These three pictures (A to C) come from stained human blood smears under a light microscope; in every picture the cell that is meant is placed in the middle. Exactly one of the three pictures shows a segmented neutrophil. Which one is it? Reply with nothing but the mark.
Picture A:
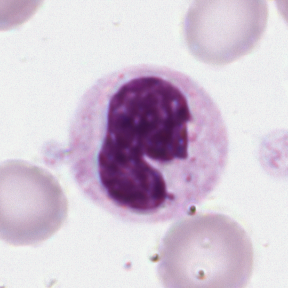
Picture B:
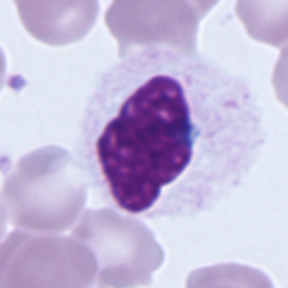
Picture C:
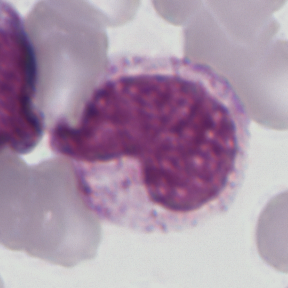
B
